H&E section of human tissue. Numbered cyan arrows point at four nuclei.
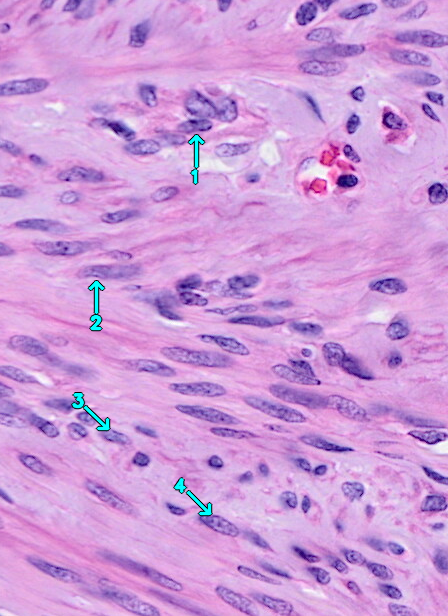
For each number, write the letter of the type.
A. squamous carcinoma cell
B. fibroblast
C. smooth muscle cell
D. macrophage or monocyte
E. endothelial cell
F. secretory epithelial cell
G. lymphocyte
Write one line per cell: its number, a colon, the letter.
1: E
2: C
3: C
4: C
